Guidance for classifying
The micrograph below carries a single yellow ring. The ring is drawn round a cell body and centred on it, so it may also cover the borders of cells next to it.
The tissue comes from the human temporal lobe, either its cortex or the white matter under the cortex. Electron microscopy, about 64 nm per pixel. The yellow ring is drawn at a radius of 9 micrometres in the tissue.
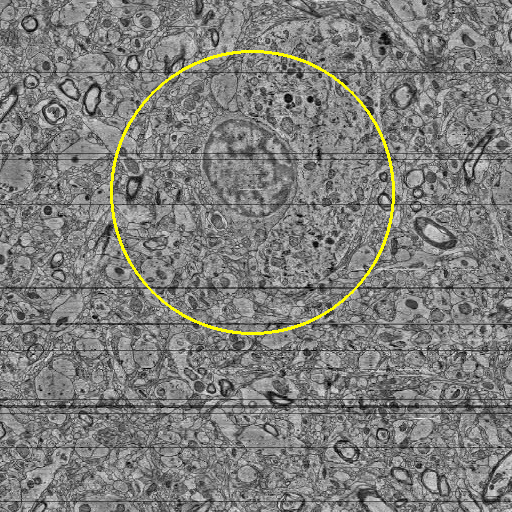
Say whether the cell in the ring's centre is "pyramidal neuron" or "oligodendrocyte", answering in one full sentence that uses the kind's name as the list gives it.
Within the yellow ring, an oligodendrocyte is the cell whose body sits at the centre.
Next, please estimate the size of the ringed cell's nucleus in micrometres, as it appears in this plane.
In this plane, about 7 micrometres in length and 5 in width.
